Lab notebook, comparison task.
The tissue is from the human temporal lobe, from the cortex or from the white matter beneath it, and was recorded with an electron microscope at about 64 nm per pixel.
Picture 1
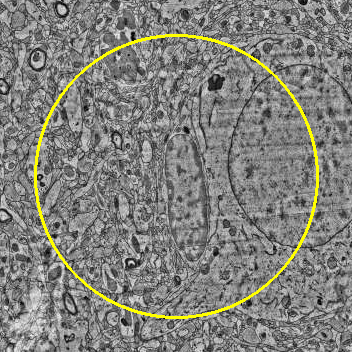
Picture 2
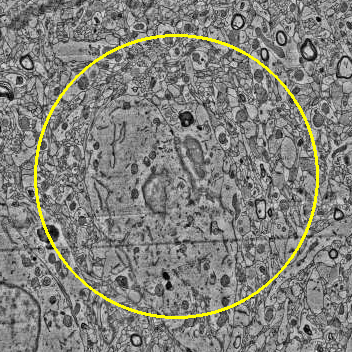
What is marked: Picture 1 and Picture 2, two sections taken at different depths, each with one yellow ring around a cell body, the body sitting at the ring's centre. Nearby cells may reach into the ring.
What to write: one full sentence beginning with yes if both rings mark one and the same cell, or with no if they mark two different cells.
No, the two rings enclose two cells that are not the same.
